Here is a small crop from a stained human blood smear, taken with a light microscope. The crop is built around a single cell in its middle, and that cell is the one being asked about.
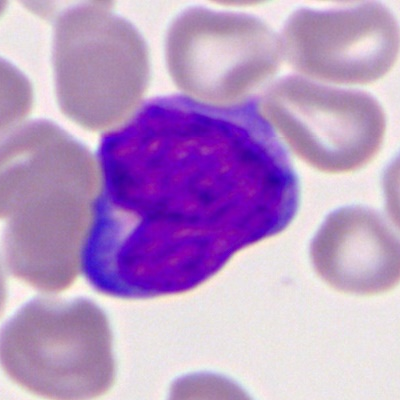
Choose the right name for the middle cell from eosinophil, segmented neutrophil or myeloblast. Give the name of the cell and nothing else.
myeloblast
